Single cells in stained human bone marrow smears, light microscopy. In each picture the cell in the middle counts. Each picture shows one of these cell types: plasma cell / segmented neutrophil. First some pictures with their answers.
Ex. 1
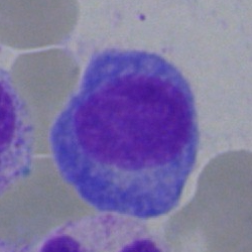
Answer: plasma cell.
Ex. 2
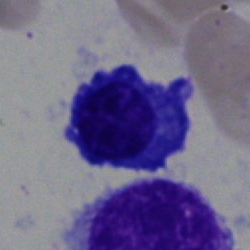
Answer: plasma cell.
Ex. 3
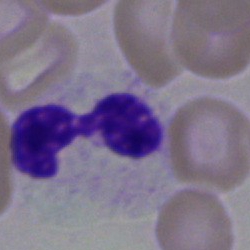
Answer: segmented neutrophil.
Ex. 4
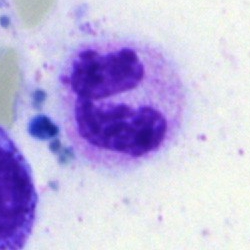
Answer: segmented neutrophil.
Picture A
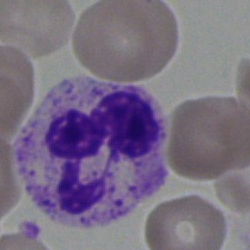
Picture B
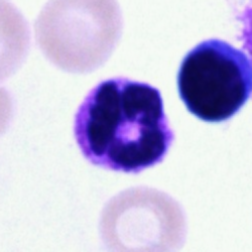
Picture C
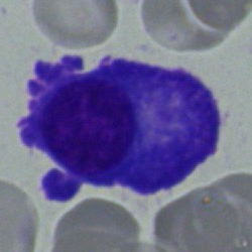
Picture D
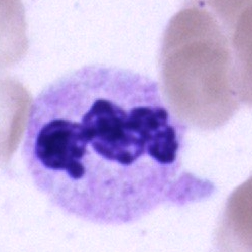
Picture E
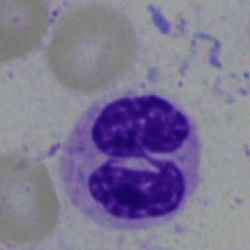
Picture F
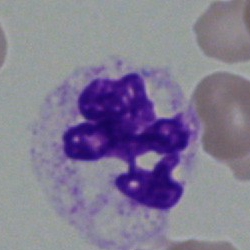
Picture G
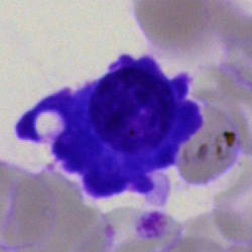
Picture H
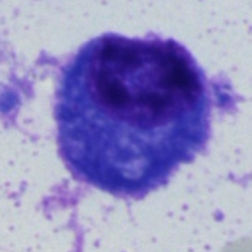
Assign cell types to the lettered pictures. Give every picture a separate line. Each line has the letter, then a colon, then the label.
A: segmented neutrophil.
B: segmented neutrophil.
C: plasma cell.
D: segmented neutrophil.
E: segmented neutrophil.
F: segmented neutrophil.
G: plasma cell.
H: plasma cell.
